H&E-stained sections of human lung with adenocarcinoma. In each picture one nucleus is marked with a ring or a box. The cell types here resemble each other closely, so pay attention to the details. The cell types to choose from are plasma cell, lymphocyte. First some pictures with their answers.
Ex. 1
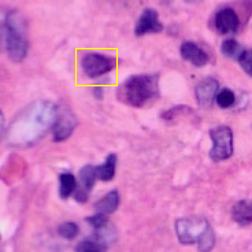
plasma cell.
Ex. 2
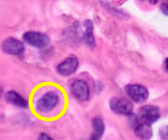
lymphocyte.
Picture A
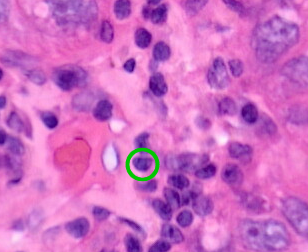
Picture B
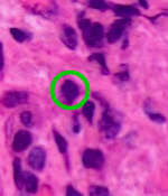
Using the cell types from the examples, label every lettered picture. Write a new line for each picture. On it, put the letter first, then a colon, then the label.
A: lymphocyte.
B: plasma cell.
